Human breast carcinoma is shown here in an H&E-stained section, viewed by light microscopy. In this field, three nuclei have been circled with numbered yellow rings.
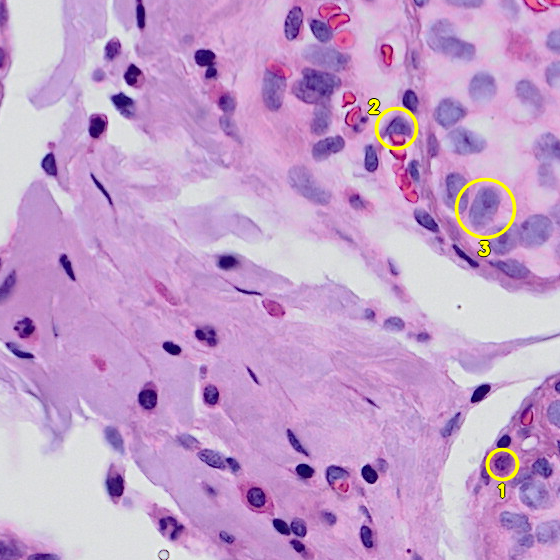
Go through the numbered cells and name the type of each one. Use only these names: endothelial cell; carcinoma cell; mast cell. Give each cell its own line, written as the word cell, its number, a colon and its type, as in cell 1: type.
cell 1: mast cell
cell 2: endothelial cell
cell 3: carcinoma cell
